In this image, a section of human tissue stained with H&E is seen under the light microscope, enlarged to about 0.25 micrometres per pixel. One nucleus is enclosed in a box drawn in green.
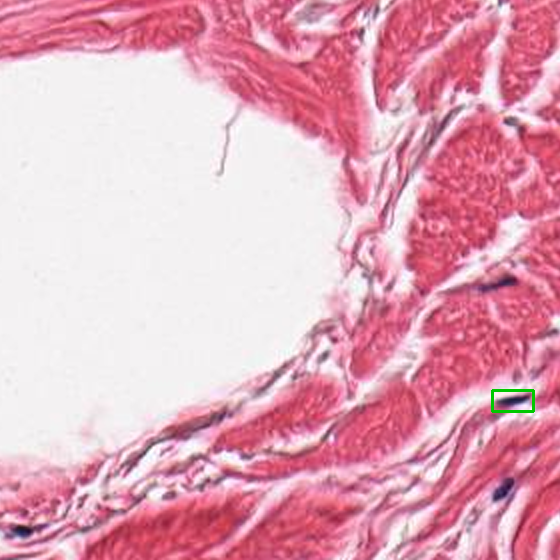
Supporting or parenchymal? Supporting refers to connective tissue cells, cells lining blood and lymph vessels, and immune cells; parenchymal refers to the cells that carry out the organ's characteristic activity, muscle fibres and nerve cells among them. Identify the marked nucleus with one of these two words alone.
supporting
